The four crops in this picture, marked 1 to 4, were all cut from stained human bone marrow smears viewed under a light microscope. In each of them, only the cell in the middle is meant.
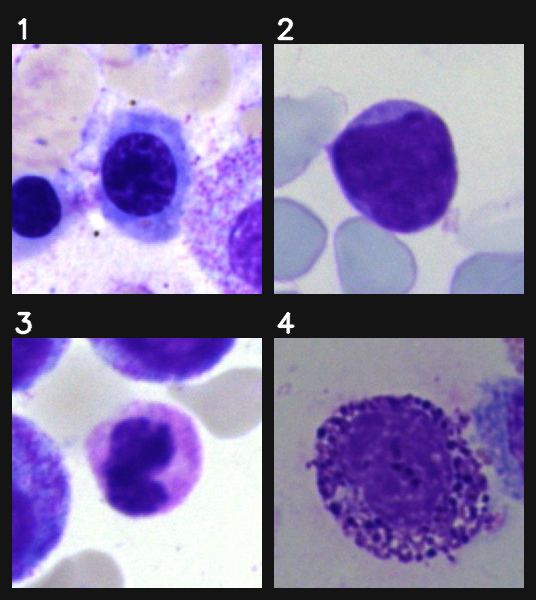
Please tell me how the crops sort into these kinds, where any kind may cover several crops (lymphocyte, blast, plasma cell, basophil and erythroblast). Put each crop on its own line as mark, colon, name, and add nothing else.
1: erythroblast
2: blast
3: basophil
4: basophil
